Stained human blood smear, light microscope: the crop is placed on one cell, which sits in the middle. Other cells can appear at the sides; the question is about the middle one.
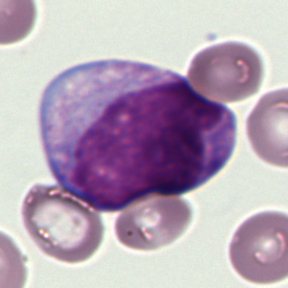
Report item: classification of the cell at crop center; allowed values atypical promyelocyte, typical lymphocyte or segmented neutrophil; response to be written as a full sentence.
As for the central cell, it is an atypical promyelocyte.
